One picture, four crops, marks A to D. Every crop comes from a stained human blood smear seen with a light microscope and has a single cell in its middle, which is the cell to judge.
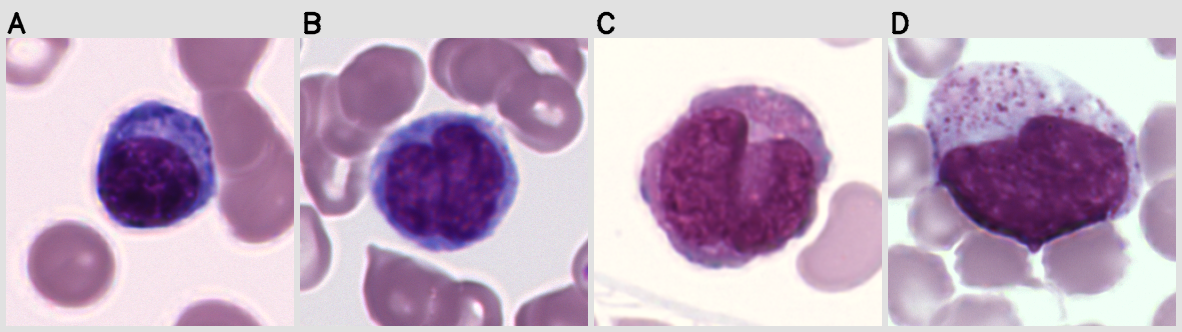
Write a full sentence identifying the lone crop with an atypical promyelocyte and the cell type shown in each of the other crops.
In the series, crop C depicts an atypical promyelocyte, while crop A is a plasma cell, crop B is a monocyte and crop D is a myelocyte.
